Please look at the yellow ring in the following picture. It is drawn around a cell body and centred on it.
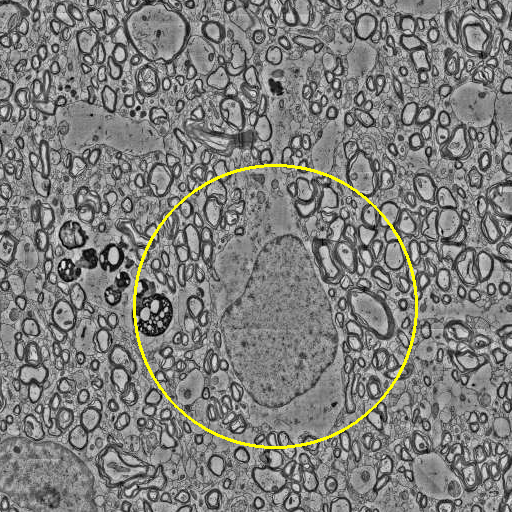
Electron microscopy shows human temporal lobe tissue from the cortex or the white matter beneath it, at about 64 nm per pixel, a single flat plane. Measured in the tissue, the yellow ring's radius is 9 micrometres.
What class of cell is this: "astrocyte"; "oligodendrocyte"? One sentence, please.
The ring surrounds the cell body of an astrocyte.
